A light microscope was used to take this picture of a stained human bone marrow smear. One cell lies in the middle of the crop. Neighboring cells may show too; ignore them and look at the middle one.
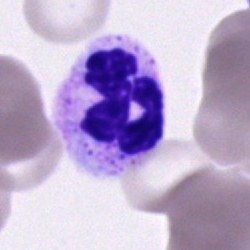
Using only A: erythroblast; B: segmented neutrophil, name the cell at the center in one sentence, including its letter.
Option B is to be chosen, as the central cell is a segmented neutrophil.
